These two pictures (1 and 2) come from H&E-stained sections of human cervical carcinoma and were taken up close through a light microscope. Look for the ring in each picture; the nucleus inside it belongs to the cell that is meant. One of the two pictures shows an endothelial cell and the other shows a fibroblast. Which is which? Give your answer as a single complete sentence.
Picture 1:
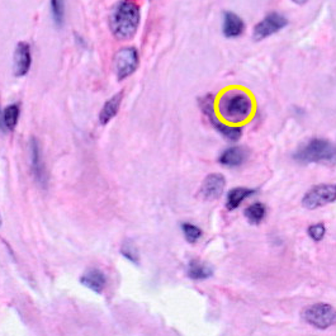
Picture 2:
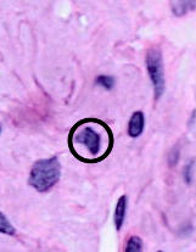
Picture 1 is of an endothelial cell, and picture 2 is of a fibroblast.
